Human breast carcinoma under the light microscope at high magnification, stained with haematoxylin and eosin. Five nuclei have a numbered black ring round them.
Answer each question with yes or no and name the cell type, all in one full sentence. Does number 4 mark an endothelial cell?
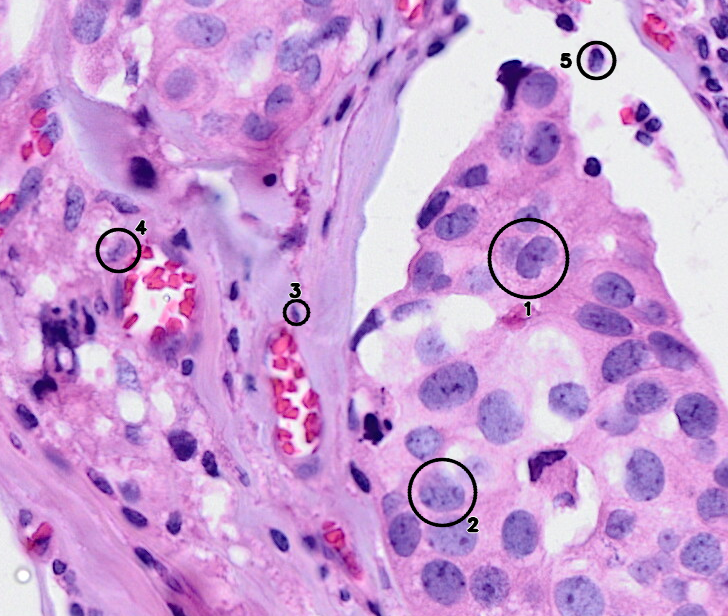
Yes, cell number 4 in this section is an endothelial cell.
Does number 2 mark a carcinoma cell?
Yes, the cell identified as number 2 is a carcinoma cell.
